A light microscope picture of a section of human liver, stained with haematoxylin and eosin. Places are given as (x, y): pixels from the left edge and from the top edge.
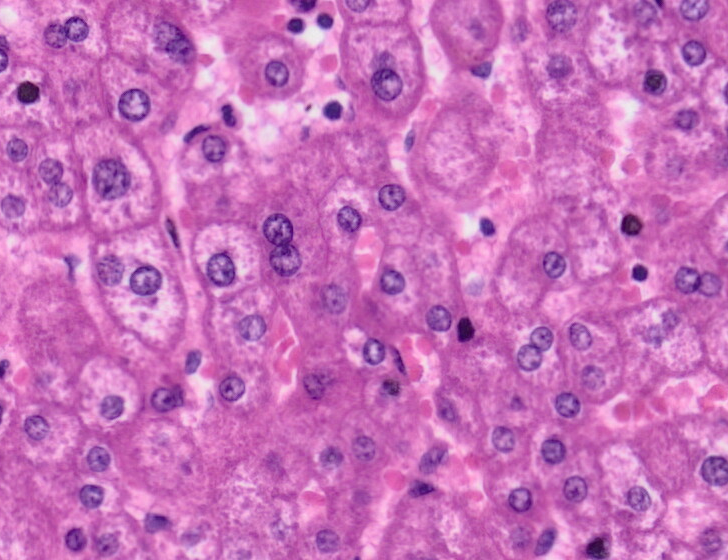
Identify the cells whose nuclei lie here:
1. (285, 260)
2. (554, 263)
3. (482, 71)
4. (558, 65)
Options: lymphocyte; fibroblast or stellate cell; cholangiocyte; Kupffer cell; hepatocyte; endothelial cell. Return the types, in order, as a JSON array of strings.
["hepatocyte", "hepatocyte", "endothelial cell", "hepatocyte"]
